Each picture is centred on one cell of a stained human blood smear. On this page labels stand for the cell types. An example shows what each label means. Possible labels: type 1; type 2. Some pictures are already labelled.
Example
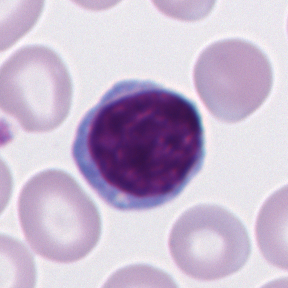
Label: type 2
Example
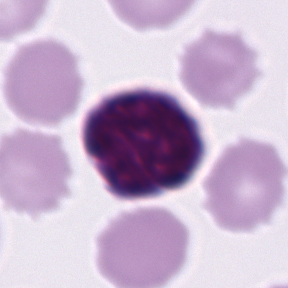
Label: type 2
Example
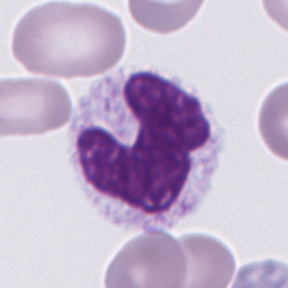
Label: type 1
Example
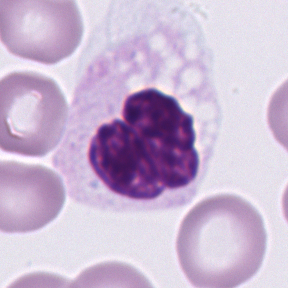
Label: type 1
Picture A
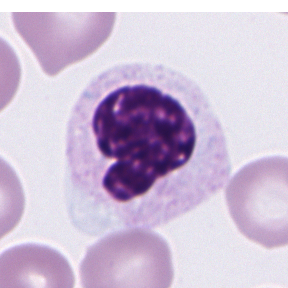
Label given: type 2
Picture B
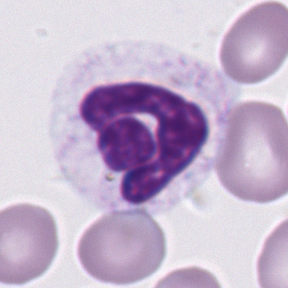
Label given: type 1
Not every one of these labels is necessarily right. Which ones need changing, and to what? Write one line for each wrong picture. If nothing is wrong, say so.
A should be type 1, not type 2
